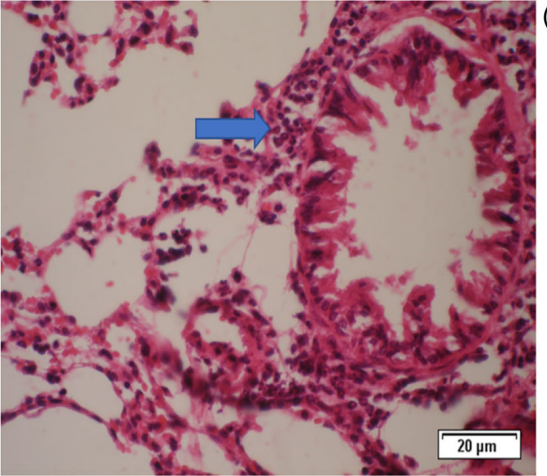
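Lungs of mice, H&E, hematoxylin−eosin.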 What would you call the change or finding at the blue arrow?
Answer: Peribronchiolitis.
